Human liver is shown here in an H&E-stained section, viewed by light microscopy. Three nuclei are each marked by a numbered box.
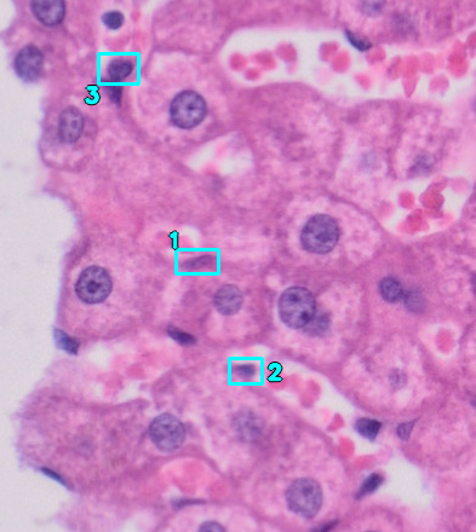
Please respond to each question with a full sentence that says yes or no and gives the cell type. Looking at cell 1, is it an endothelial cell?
Yes, the cell to which number 1 refers is an endothelial cell.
